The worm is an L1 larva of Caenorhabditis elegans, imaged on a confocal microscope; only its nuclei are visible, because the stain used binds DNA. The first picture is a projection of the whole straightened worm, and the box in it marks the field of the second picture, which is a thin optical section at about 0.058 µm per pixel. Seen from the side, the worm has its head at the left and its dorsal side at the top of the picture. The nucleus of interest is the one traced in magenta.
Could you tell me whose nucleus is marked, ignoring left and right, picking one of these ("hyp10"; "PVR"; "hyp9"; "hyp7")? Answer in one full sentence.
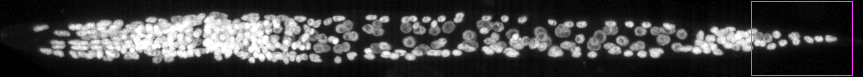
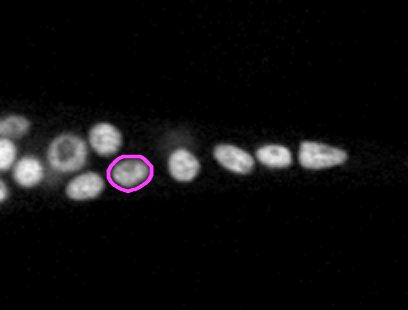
The cell whose nucleus is marked is hyp7, a hypodermal cell (hyp).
